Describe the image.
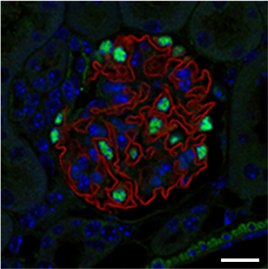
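Kidney section centred on a single round glomerulus surrounded by tubules. A continuous, thin red line winds in tight loops through the tuft, tracing the outlines of the capillary loops. Bright green nuclei sit along the outer aspect of these loops, mostly towards the periphery of the tuft.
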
